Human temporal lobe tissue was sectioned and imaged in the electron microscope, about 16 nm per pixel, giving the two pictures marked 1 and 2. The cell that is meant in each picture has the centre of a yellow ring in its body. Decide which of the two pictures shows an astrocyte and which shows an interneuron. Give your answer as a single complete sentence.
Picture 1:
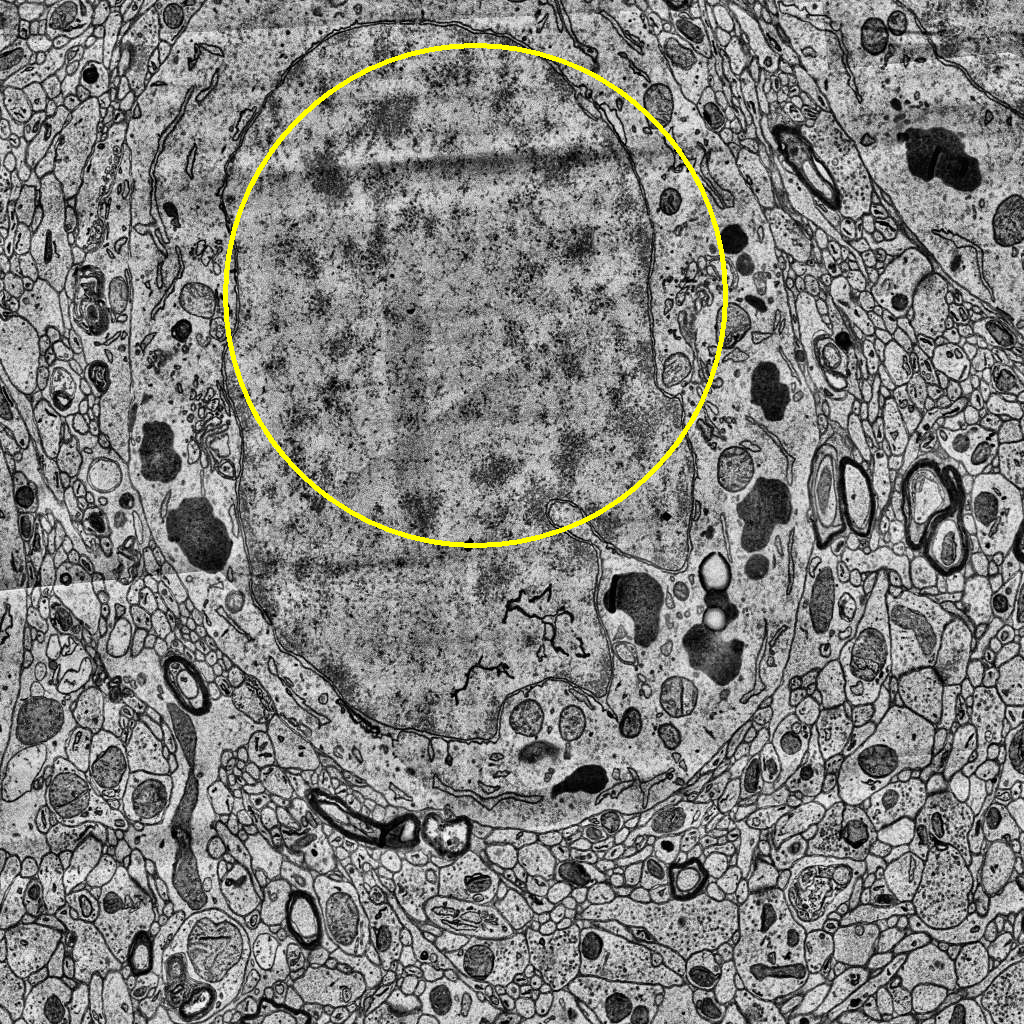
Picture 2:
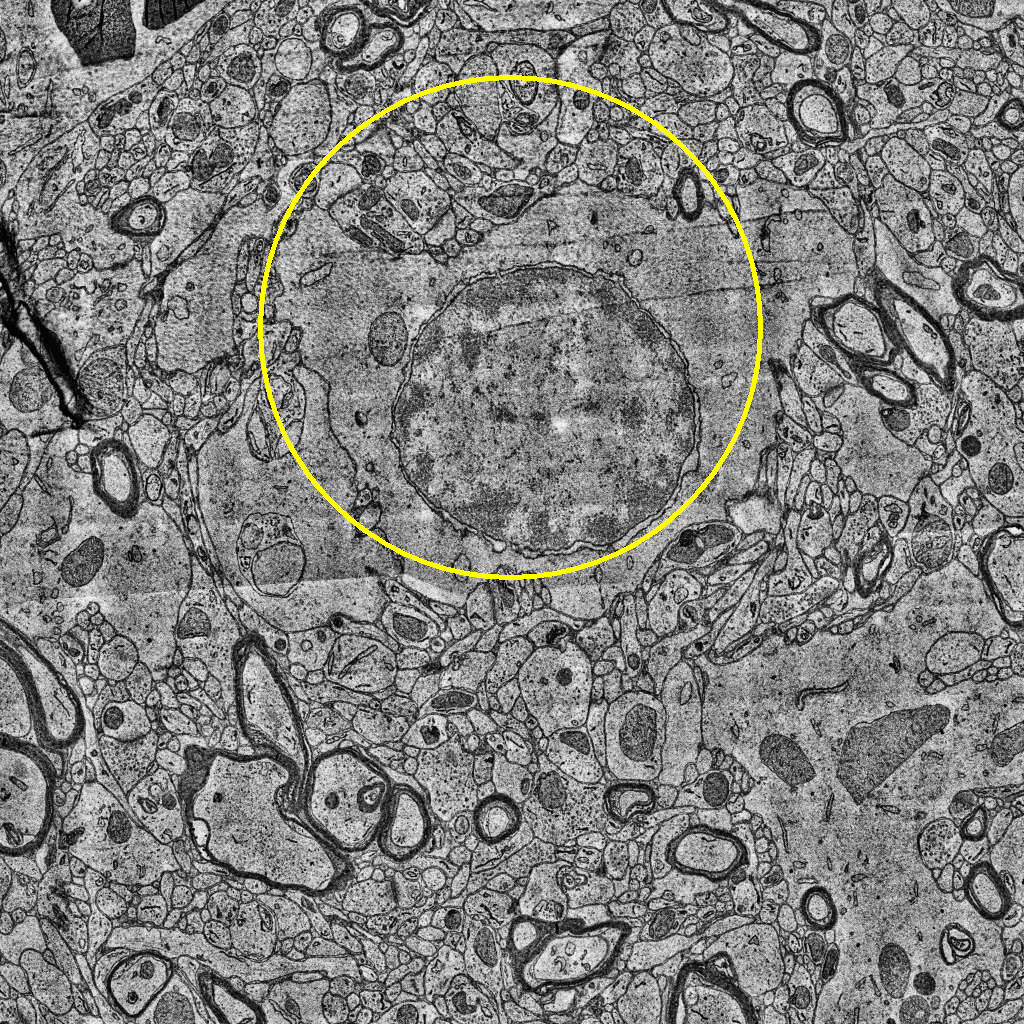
It is picture 1 that shows an interneuron, and picture 2 that shows an astrocyte.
